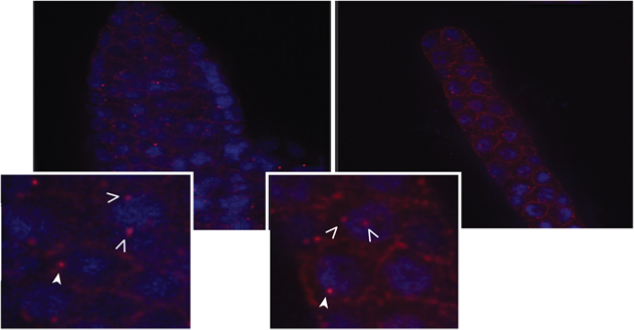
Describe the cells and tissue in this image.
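Two germline tips packed with round germ cell nuclei stained blue are shown, with enlarged views below each. Small, bright red dots lie beside many nuclei, singly or in pairs, and the arrowheads point to such dots in the enlargements. A fainter red outline traces the borders between neighbouring germ cells, especially in the right germline.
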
